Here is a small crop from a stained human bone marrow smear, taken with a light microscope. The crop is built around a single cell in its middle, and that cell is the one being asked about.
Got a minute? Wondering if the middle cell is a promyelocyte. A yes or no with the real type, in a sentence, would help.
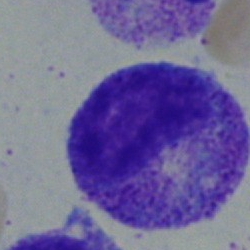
No, a myelocyte, not a promyelocyte, is what sits in the centre of the crop.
